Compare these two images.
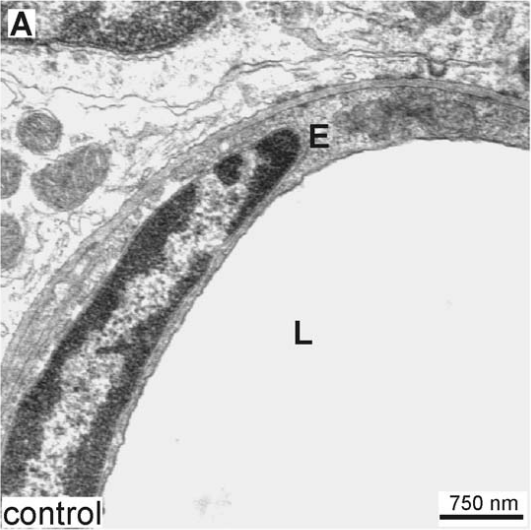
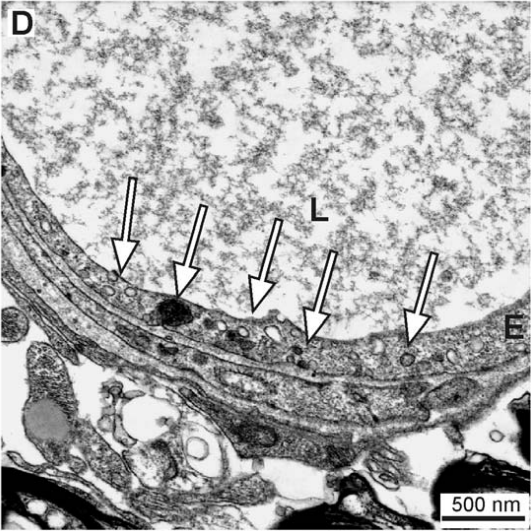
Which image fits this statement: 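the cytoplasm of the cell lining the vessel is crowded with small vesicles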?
The second image.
